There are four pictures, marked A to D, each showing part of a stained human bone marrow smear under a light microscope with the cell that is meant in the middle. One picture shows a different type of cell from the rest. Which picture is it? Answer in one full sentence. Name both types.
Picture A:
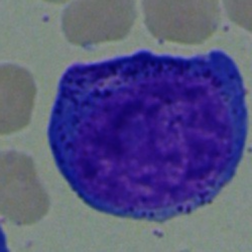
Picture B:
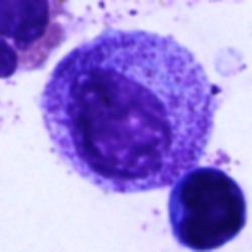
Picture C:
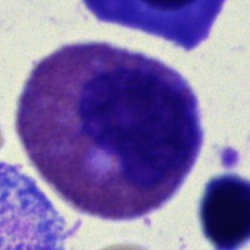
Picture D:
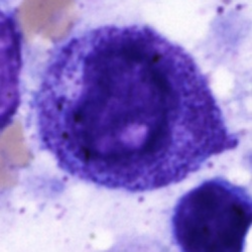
Picture C differs, because its cell is an eosinophil and the rest are promyelocytes.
